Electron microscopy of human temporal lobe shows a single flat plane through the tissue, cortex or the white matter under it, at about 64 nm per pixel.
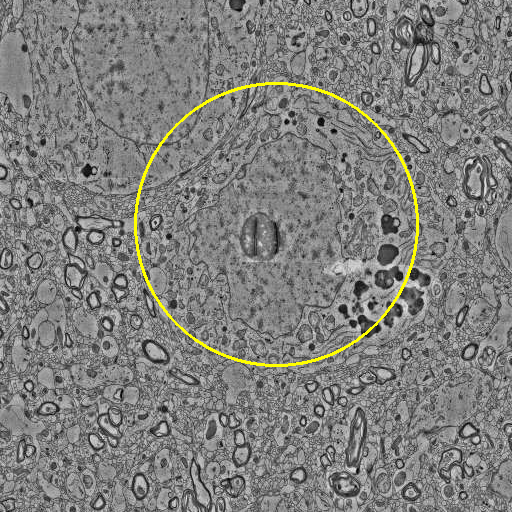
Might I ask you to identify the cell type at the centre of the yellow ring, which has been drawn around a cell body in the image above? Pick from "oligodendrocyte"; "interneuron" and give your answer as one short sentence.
The centre of the ring falls on an interneuron.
